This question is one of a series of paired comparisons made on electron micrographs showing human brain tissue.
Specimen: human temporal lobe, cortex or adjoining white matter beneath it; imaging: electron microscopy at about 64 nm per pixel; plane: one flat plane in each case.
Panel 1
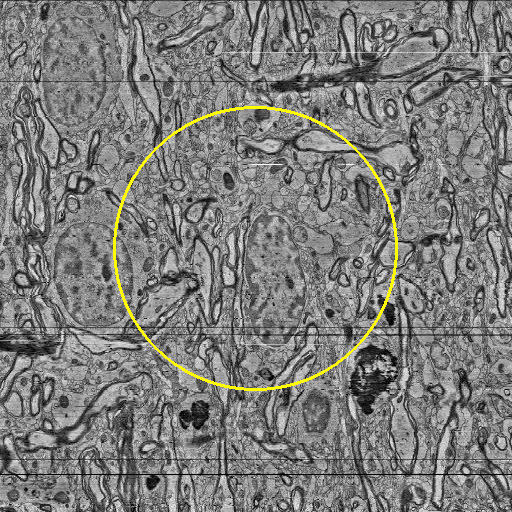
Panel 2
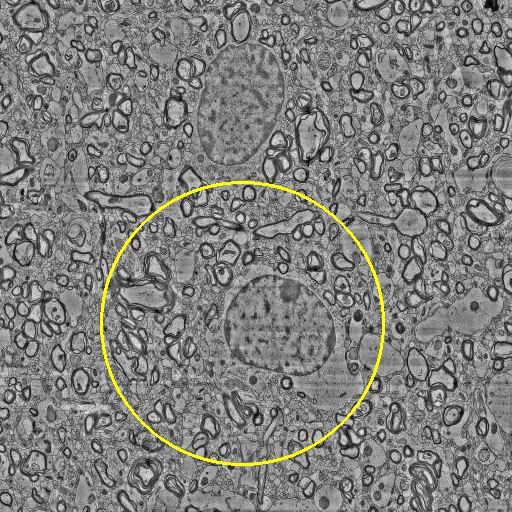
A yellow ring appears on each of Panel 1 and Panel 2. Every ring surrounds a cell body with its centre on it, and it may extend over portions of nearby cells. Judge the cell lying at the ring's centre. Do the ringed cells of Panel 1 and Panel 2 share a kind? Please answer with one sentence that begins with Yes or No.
Yes, the ring-centre cell in Panel 1 and the one in Panel 2 are of one kind.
